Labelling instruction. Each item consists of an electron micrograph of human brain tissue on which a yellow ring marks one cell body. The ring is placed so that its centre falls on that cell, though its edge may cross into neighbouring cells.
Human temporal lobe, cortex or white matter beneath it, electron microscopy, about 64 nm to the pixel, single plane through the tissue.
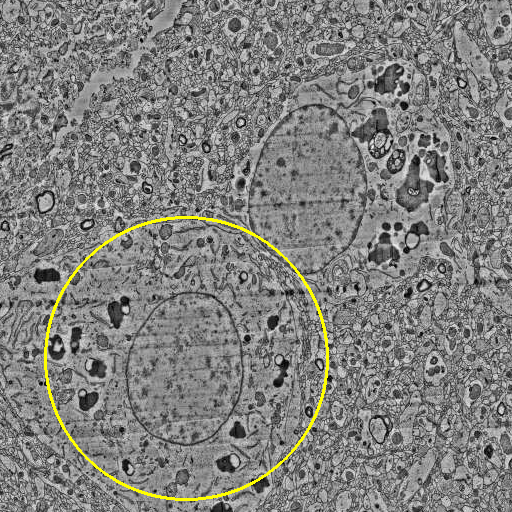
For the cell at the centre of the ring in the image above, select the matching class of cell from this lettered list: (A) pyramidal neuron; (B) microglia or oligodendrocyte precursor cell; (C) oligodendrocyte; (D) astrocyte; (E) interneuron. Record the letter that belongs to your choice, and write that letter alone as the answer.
A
